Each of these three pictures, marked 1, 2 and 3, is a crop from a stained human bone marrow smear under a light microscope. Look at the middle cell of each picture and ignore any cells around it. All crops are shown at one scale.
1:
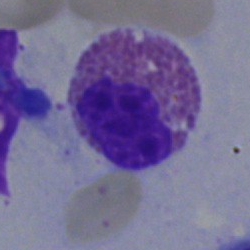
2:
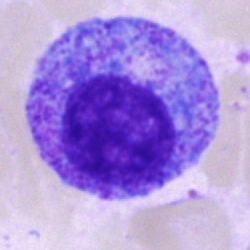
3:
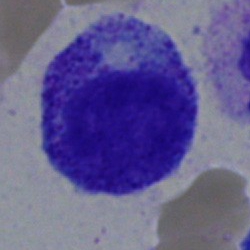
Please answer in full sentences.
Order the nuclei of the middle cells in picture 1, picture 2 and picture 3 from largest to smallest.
Going down, they run 3, 2, 1.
